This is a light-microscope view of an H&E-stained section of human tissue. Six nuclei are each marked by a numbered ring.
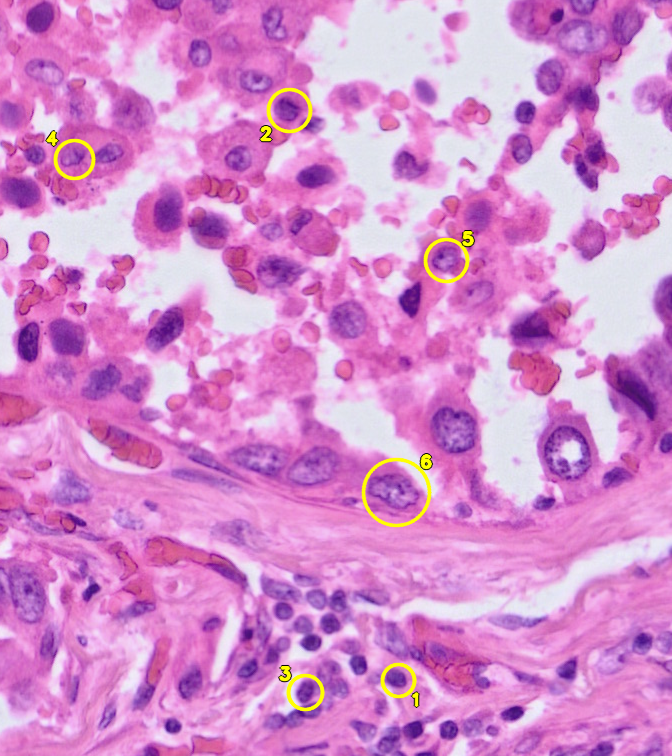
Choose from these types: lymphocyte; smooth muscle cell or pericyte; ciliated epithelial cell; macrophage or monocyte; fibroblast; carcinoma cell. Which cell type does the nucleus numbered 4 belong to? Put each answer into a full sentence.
The cell that carries the label 4 is a macrophage or monocyte.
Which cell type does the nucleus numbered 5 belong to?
The one labeled 5 is a macrophage or monocyte, to put it simply.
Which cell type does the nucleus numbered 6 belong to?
Of the numbered cells, the one labelled 6 is a carcinoma cell.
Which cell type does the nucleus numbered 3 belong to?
The cell carrying label 3 is identified as a lymphocyte.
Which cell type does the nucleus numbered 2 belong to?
The identity of cell 2 is that of a macrophage or monocyte.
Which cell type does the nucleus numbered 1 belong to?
The cell that carries the label 1 is a lymphocyte.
